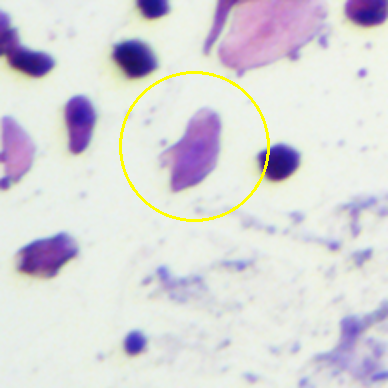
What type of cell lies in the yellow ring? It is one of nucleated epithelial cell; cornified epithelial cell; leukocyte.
The ringed cell is a cornified epithelial cell.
